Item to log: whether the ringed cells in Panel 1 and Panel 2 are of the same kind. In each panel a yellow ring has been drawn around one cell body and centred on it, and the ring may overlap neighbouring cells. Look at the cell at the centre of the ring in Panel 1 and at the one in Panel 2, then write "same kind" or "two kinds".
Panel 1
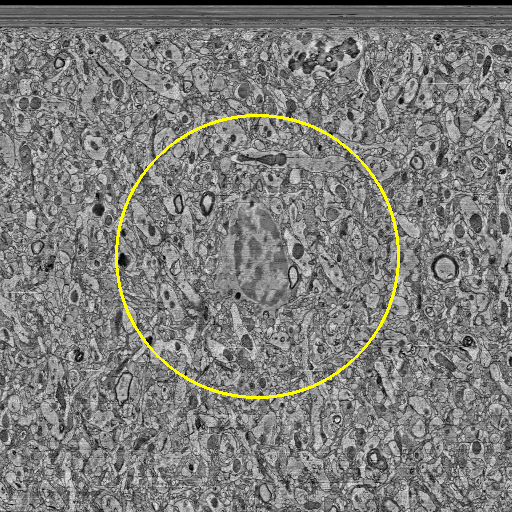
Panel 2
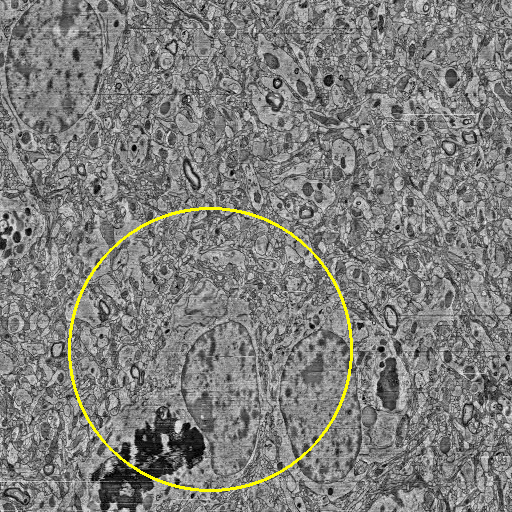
two kinds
